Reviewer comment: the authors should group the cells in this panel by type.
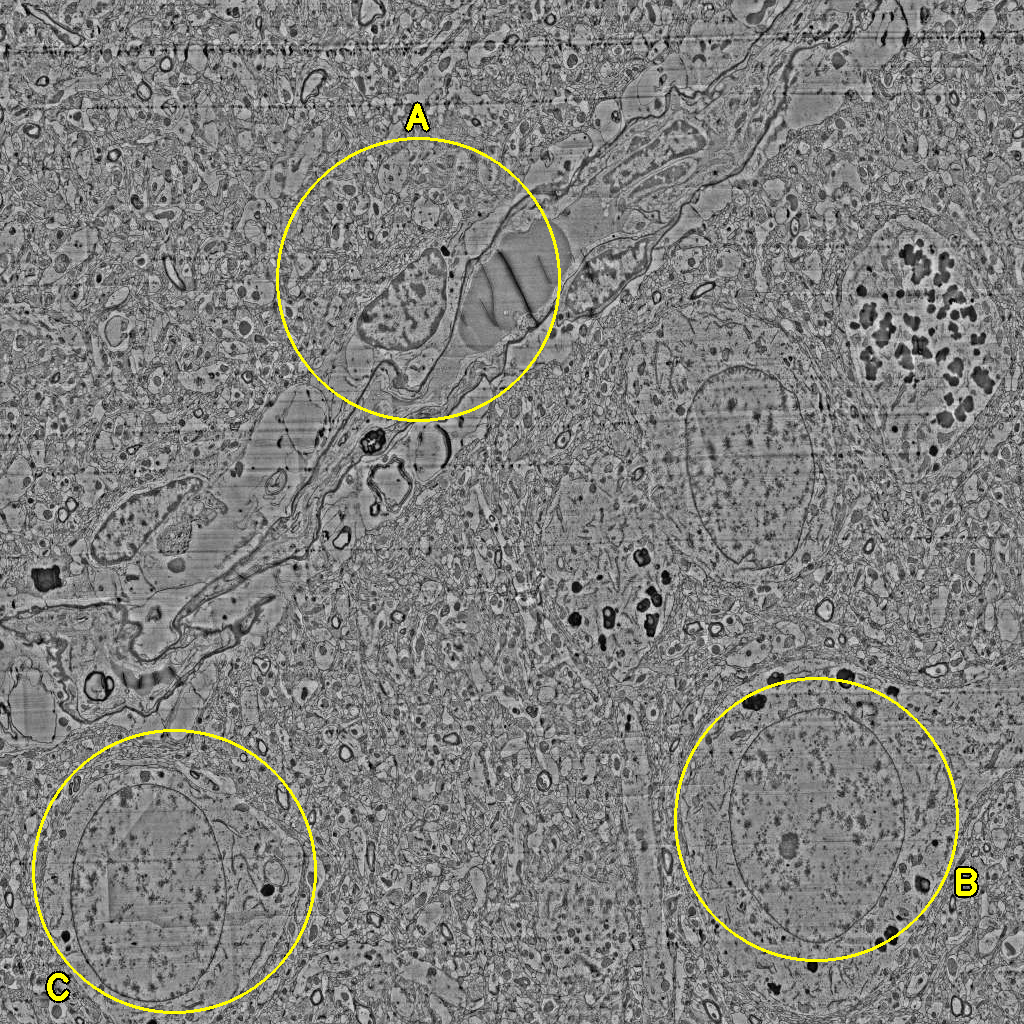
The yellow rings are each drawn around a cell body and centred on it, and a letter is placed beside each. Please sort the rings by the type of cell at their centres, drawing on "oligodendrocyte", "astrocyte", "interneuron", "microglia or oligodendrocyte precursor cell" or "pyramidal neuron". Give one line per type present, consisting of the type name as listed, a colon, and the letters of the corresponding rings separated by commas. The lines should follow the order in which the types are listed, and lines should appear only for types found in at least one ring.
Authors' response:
microglia or oligodendrocyte precursor cell: A
pyramidal neuron: B, C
